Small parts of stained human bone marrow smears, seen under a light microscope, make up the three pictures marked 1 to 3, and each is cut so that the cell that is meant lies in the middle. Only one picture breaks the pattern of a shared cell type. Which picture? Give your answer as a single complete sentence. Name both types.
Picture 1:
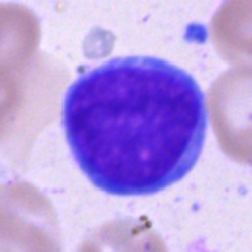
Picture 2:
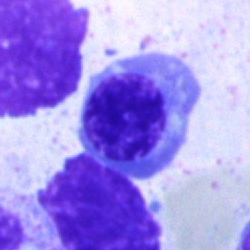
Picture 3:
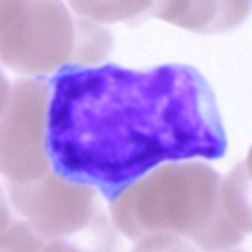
All pictures except 2 show blasts; picture 2 shows an erythroblast.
